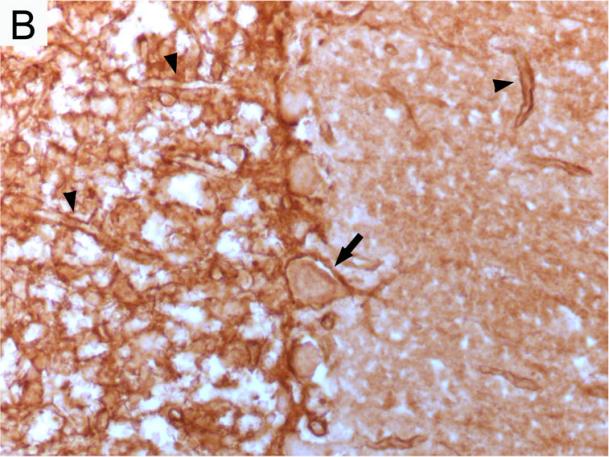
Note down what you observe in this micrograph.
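This is cerebellar cortex at high magnification, with the granular layer on the left and the molecular layer on the right. In the granular layer the brown stain forms a coarse reticular network of fine processes surrounding pale, unstained holes where the small cell bodies sit. At the border between the two layers lie large, round, pale Purkinje cell bodies, each encircled by a basket of brown-stained processes.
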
